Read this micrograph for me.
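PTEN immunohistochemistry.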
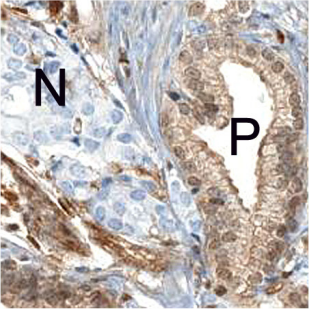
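Tumor glands lie side by side in a fibrous stroma, some stained and some unstained. On the left, small glands and cell clusters have round pale nuclei with blue counterstain and clear, unstained cytoplasm. On the right, a gland of tall columnar cells surrounds an open lumen, and these cells have brown cytoplasm and brown nuclei. Between the glands, the stroma holds elongated spindle cells, many of them stained dark brown, alongside pale blue fibers.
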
